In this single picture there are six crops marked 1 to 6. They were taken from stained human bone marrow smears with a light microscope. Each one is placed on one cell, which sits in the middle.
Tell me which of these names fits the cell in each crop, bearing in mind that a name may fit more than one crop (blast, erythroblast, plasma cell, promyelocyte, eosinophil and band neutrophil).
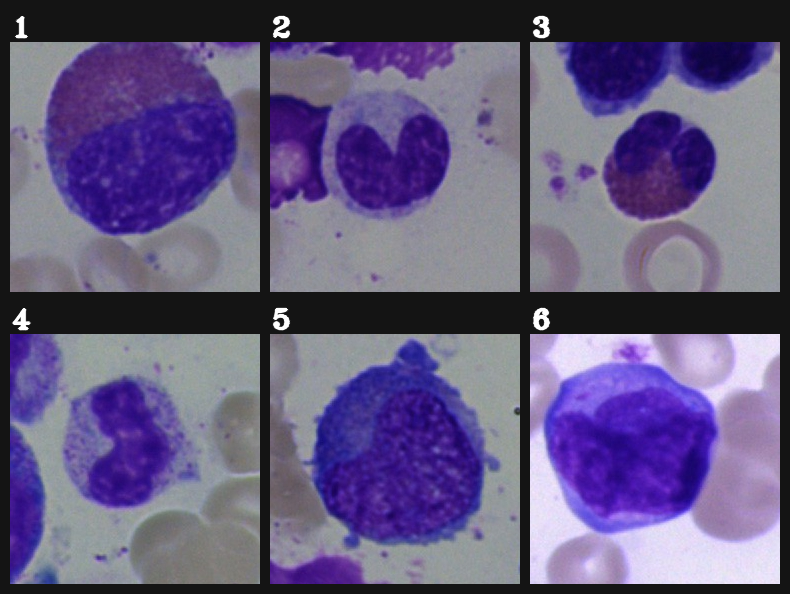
1: eosinophil
2: band neutrophil
3: eosinophil
4: band neutrophil
5: blast
6: blast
